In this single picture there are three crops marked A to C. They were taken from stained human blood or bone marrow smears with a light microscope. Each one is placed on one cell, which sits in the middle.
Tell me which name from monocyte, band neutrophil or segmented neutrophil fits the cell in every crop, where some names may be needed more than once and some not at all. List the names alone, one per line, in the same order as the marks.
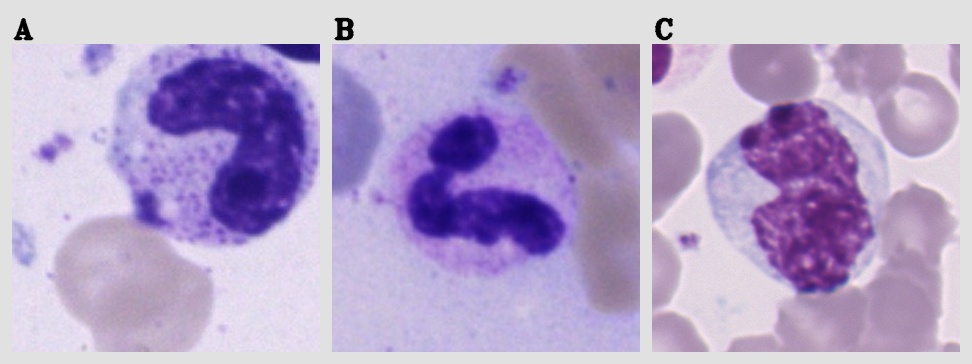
band neutrophil
segmented neutrophil
monocyte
